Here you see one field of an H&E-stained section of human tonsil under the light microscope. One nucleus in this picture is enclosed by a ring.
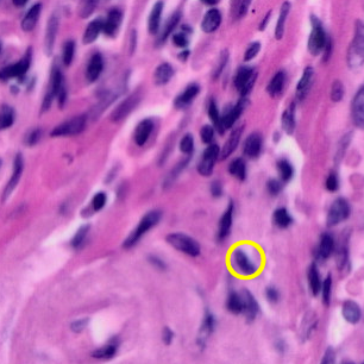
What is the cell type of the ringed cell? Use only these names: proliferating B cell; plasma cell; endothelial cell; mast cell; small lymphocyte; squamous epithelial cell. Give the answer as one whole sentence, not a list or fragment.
To be brief about it, the ringed cell is a mast cell.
